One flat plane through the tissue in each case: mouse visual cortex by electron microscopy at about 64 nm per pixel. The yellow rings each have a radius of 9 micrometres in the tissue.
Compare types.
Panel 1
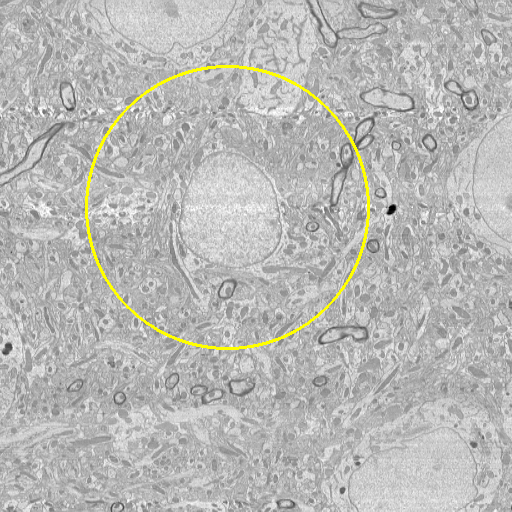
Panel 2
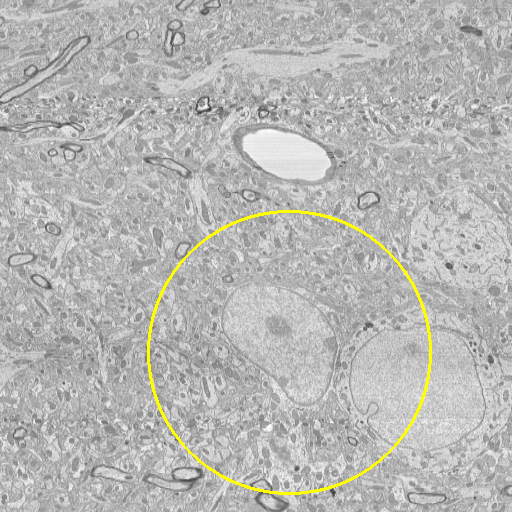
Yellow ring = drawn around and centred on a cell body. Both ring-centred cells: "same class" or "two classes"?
same class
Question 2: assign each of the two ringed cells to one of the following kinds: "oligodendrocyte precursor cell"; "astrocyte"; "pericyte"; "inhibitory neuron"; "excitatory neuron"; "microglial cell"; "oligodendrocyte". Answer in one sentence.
Each of the two pictures has an astrocyte at the ring centre.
